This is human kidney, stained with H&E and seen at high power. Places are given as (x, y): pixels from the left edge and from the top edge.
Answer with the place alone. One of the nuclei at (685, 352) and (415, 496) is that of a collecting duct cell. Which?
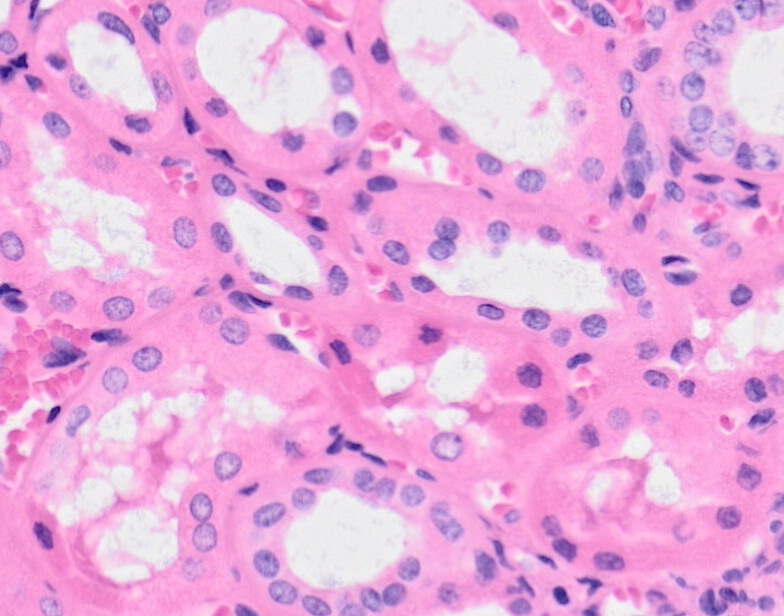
(415, 496)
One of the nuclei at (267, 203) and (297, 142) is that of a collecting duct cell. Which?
(267, 203)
